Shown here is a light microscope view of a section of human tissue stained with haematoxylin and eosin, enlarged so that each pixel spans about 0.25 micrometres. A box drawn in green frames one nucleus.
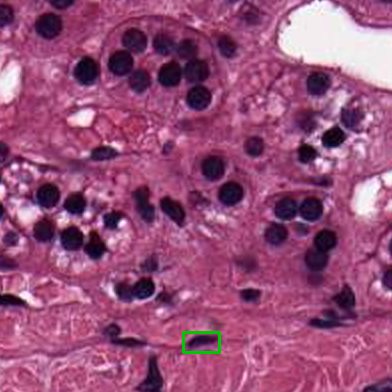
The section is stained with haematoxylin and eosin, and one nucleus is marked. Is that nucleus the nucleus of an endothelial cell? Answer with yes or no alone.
no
